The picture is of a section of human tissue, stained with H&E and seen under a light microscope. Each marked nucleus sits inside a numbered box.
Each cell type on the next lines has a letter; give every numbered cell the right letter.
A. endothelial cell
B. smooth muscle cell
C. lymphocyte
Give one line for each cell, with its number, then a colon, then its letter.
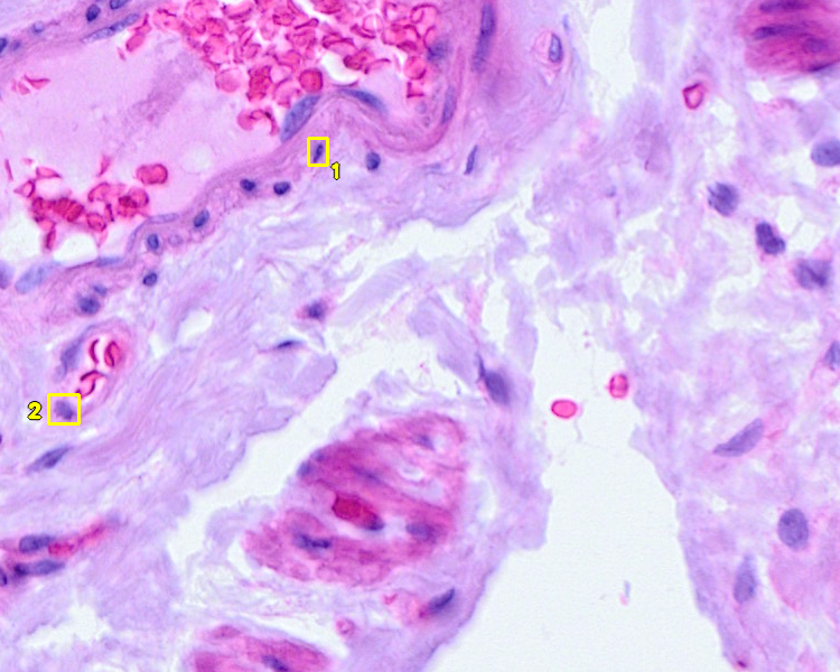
1: B
2: A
